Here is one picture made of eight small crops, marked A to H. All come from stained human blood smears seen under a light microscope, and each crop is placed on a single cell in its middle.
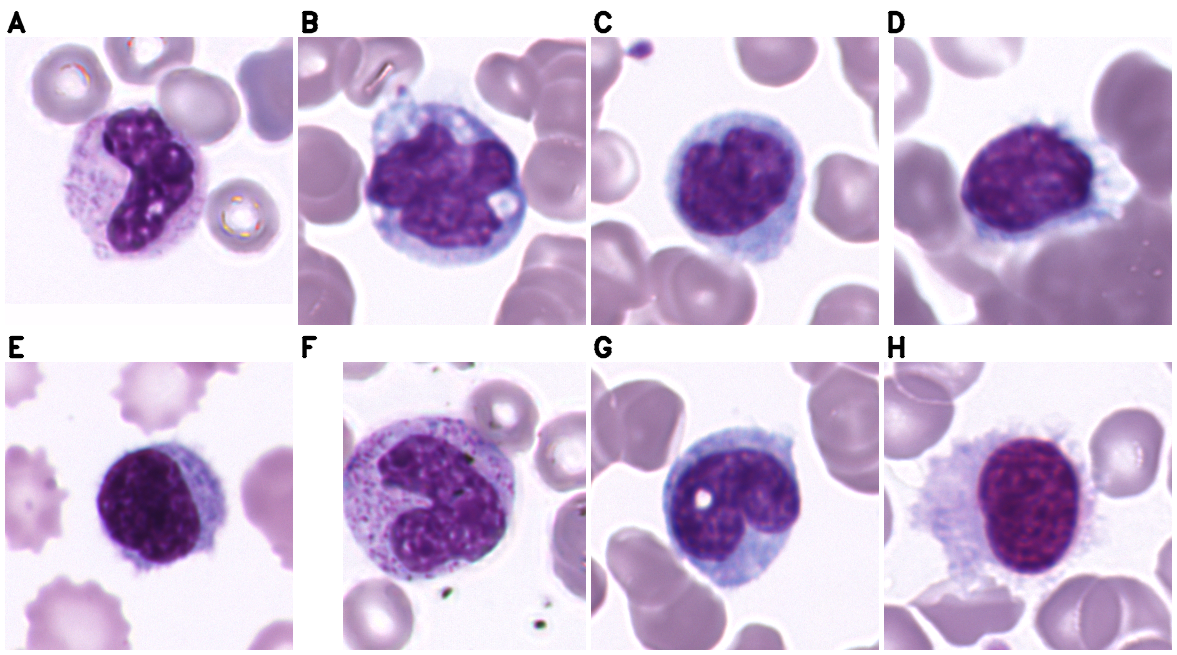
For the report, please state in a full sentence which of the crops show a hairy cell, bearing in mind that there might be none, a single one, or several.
What crops D, E and H show in the middle are hairy cells.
